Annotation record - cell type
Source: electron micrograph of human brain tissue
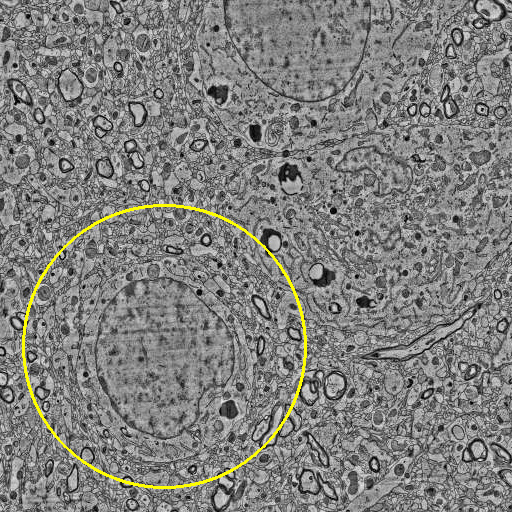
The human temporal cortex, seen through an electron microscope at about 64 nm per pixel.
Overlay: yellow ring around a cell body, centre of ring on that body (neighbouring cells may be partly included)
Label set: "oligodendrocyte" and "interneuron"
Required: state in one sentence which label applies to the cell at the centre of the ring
This cell should be labelled as an interneuron.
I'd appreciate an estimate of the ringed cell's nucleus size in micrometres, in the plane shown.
Approximately 10 micrometres long and 9 micrometres wide, in this plane.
